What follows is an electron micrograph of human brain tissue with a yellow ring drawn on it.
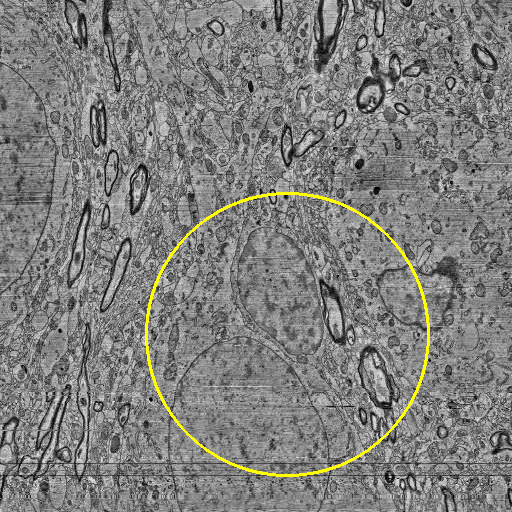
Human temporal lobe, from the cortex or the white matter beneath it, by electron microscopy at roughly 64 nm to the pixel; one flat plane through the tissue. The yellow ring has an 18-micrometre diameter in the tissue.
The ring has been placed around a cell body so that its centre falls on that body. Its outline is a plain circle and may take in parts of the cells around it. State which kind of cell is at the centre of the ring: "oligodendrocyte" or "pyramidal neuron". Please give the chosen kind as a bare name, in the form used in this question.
oligodendrocyte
